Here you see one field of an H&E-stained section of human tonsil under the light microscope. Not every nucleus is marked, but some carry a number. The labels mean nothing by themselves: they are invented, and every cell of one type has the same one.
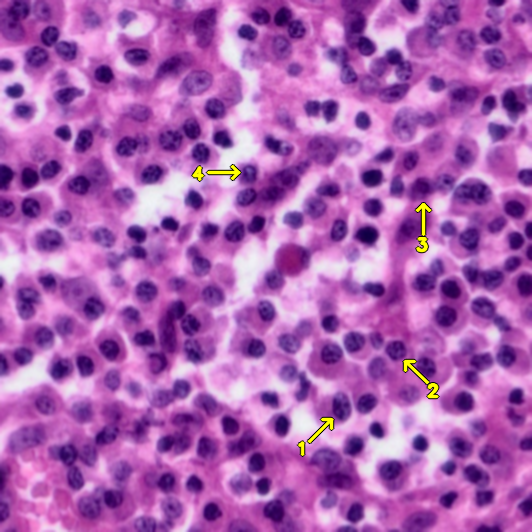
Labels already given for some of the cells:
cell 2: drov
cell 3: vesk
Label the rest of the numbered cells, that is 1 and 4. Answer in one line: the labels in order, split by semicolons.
drov; drov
